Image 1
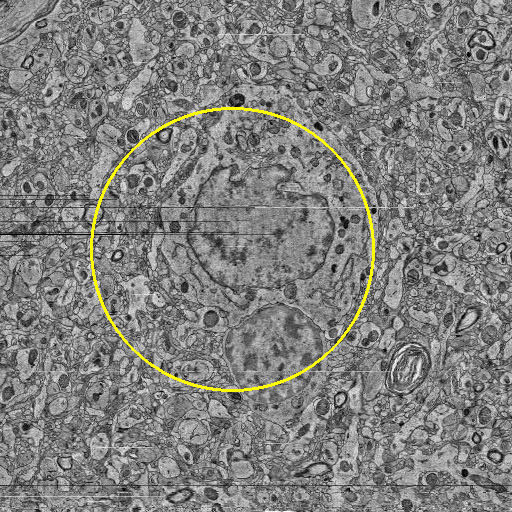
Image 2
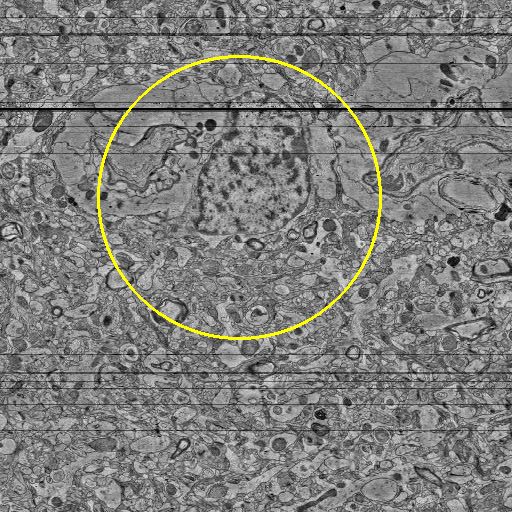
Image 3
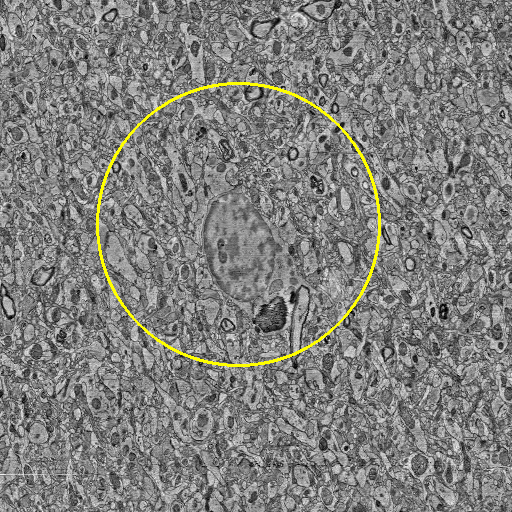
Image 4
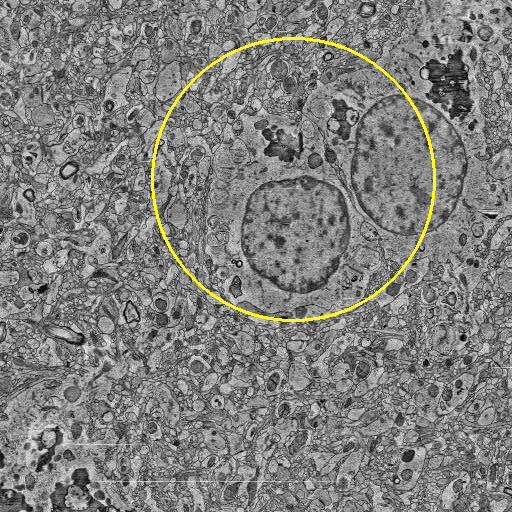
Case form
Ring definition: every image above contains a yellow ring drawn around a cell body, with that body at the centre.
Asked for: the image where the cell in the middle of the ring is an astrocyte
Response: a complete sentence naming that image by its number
Image 4 is the one.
